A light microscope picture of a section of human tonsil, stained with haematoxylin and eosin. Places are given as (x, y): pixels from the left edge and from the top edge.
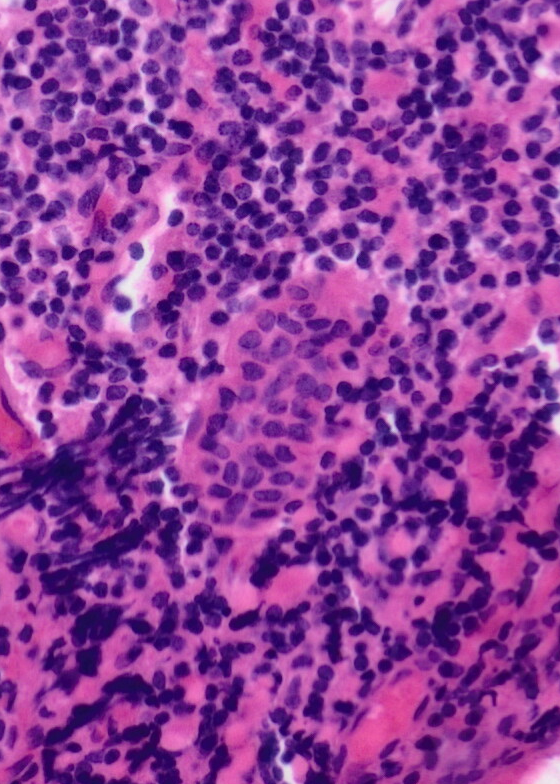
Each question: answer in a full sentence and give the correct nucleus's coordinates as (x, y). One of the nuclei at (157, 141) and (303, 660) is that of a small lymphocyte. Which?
Of the pair, the nucleus positioned at (157, 141) is that of a small lymphocyte.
